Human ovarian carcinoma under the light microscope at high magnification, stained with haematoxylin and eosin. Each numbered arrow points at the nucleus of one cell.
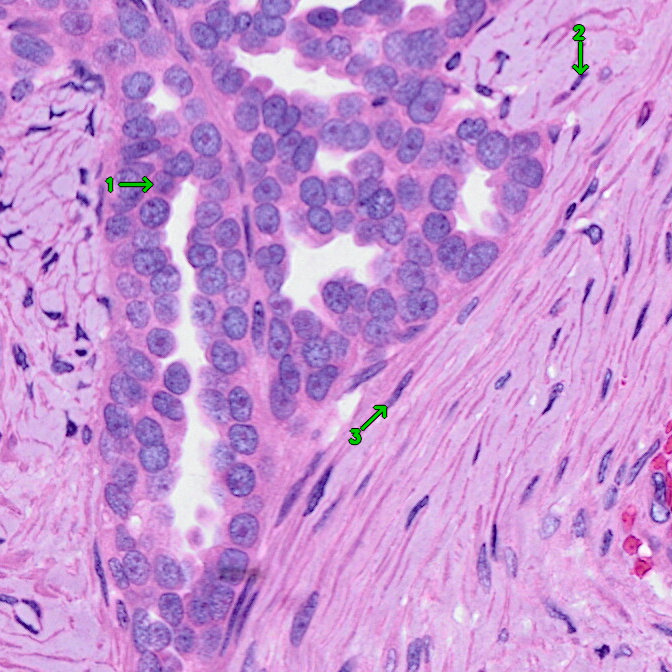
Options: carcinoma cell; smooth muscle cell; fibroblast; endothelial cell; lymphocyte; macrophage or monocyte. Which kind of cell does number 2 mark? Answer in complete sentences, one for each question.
In the marked set, the cell given number 2 is a fibroblast.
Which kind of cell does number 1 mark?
The nucleus labeled 1 belongs to a carcinoma cell.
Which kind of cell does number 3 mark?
Identified as a fibroblast is the cell bearing the number 3.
